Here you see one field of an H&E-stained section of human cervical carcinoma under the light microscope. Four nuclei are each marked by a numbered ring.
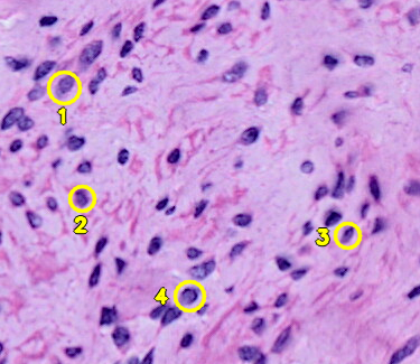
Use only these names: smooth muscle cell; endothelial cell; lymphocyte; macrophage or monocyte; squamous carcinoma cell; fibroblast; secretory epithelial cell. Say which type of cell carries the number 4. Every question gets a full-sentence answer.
The one numbered 4 among the marked cells is a fibroblast.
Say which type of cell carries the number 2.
Heads up, the cell numbered 2 is a smooth muscle cell.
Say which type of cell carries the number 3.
Heads up, the cell numbered 3 is a smooth muscle cell.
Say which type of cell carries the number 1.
Number 1 among the marked cells is a smooth muscle cell.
